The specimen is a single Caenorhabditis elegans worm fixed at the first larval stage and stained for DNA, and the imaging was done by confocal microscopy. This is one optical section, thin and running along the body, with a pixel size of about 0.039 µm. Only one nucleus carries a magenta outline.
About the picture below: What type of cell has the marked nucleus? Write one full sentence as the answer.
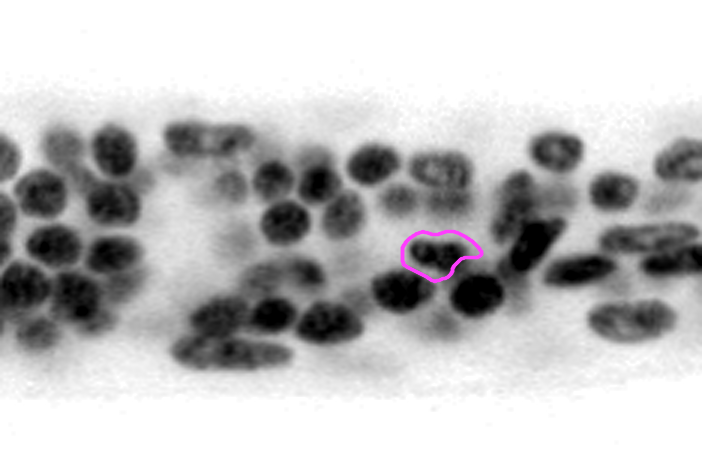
It belongs to a pharyngeal muscle cell.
